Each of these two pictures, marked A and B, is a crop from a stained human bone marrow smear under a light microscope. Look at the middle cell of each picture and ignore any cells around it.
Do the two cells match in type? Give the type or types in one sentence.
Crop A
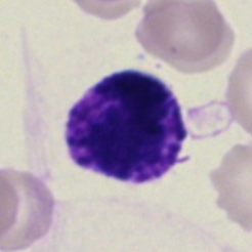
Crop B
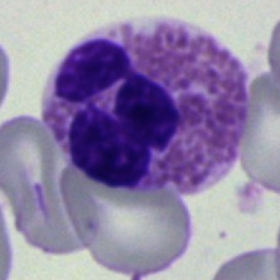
No, just to correct that: crop A shows a basophil, crop B shows an eosinophil.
